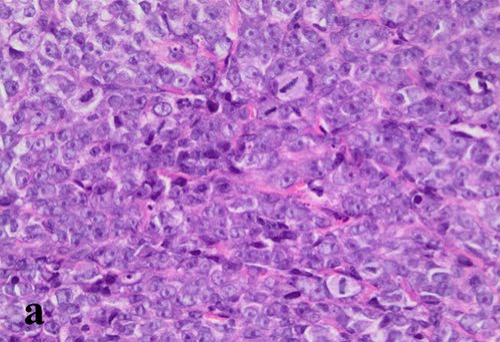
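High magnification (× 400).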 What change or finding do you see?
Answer: Mitotic figures.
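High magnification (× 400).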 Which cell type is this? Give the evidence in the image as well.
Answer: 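Densely packed polygonal cells with moderate cytoplasm. Large, crowded, pleomorphic nuclei. So: malignant epithelioid cells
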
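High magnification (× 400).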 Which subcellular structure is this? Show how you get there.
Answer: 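Prominent nucleoli. Many nuclei contain a distinct dark nucleolus. Nuclei are large and vesicular to dark.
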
